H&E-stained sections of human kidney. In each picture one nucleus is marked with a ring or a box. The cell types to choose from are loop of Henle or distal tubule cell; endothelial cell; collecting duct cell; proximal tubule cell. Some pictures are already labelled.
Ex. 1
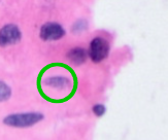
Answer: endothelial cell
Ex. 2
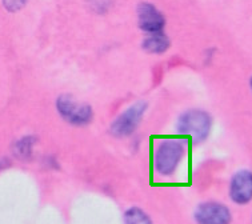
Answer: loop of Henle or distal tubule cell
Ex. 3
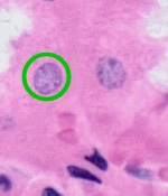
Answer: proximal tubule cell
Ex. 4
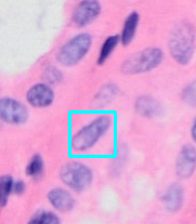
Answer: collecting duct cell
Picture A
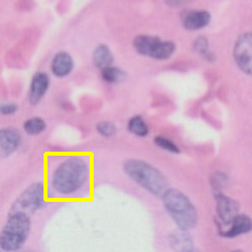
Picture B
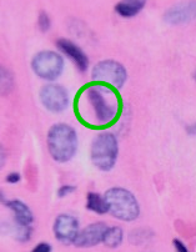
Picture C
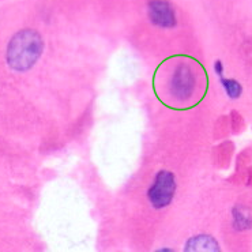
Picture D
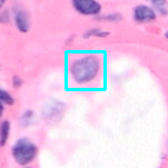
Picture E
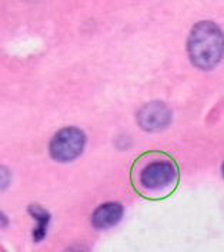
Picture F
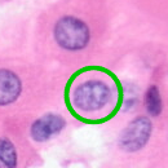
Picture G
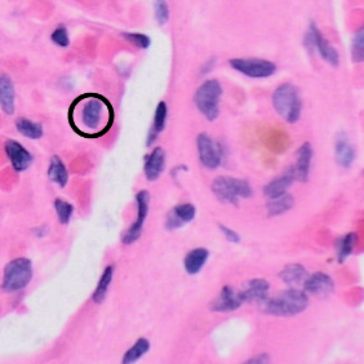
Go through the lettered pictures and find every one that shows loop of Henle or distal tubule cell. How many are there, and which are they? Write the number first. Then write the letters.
2: D, E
